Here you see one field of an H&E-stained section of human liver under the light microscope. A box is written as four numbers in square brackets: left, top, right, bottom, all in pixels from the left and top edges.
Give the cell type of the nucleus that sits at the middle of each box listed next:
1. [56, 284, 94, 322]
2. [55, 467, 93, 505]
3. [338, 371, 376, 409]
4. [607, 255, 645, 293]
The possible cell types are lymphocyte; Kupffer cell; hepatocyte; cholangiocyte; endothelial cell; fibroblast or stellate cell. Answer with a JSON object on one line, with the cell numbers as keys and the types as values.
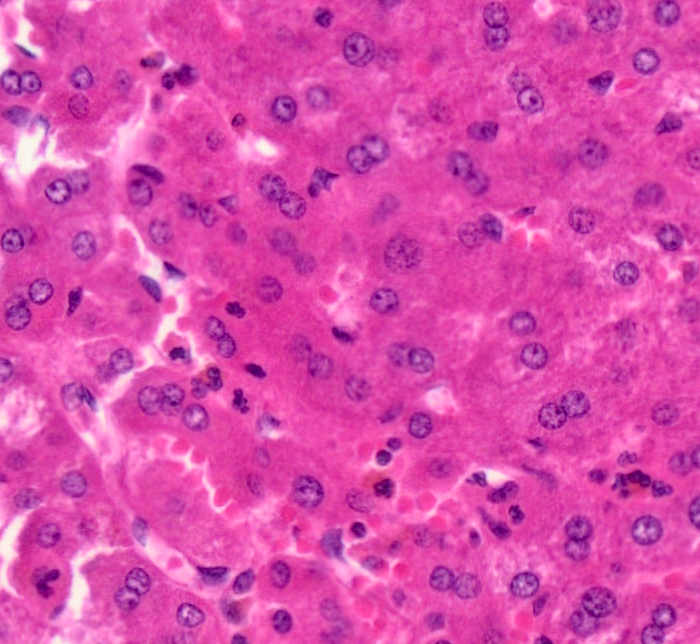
{"1": "fibroblast or stellate cell", "2": "hepatocyte", "3": "hepatocyte", "4": "hepatocyte"}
